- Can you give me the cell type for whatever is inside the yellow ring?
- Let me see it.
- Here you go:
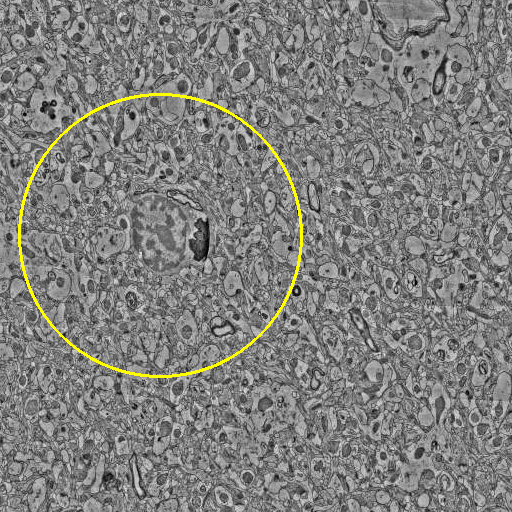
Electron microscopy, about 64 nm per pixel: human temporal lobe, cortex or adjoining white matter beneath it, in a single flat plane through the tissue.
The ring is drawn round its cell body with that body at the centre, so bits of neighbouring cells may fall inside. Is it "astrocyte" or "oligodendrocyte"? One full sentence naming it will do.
The cell body in the middle of the ring in this picture belongs to an oligodendrocyte.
